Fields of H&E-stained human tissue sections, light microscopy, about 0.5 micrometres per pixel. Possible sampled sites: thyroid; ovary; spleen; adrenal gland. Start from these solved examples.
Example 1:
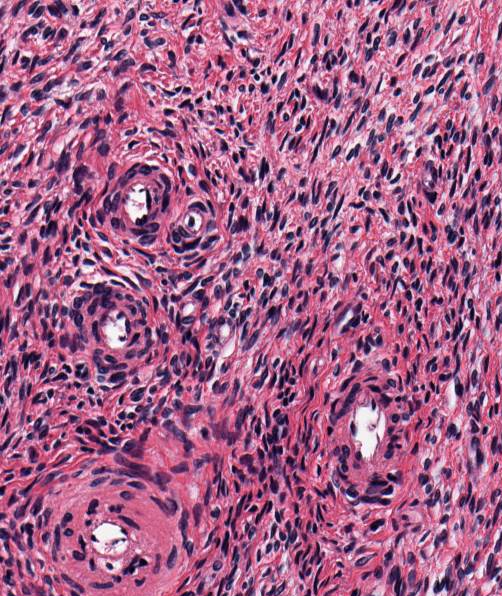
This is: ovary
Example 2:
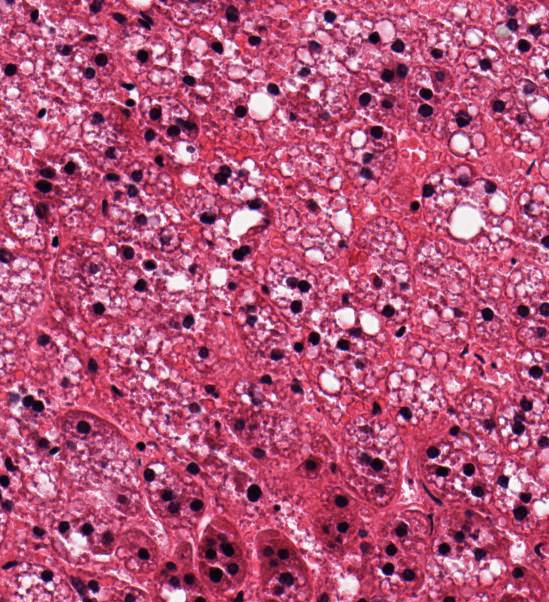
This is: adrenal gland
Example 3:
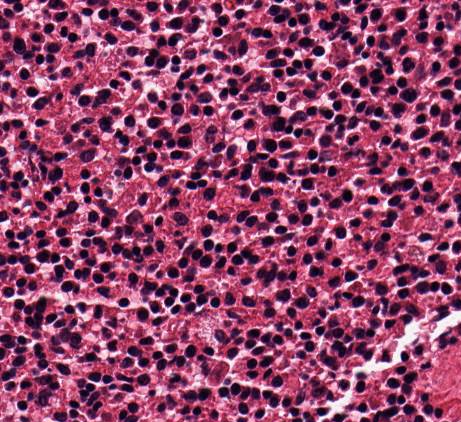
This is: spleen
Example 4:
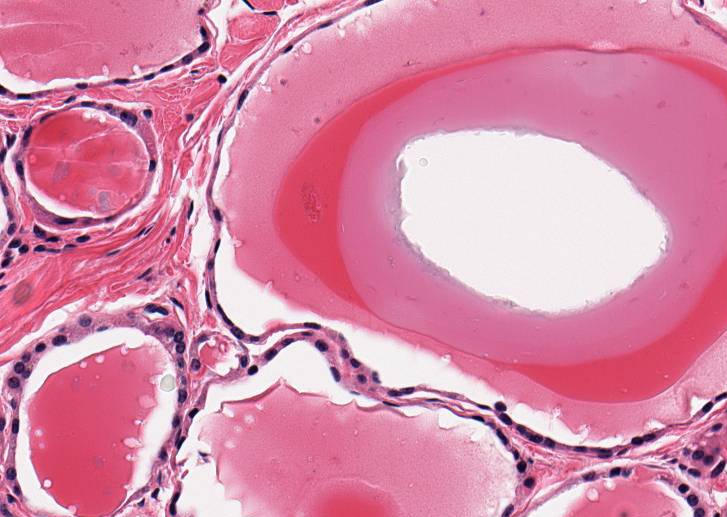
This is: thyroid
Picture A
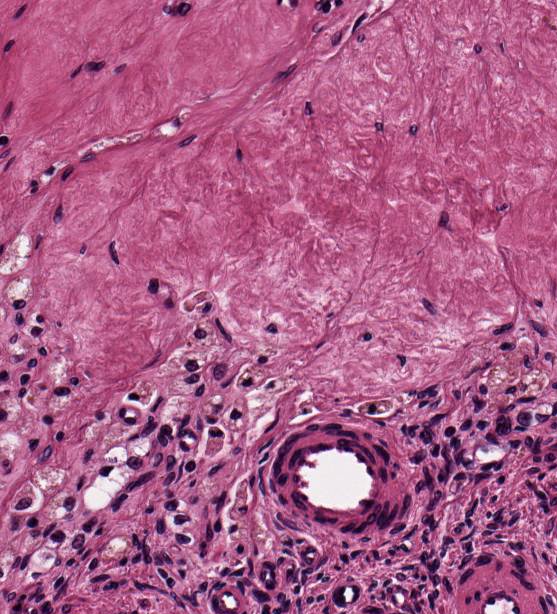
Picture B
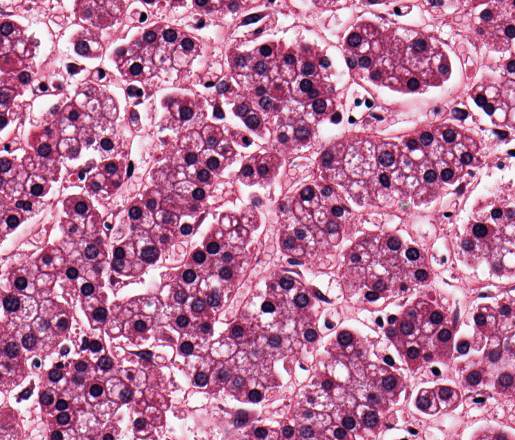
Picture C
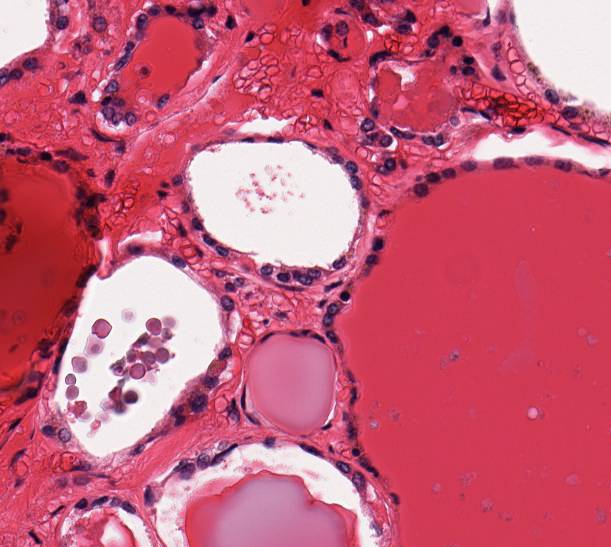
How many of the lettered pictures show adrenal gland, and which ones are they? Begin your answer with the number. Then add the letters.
Count: 1 (B)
